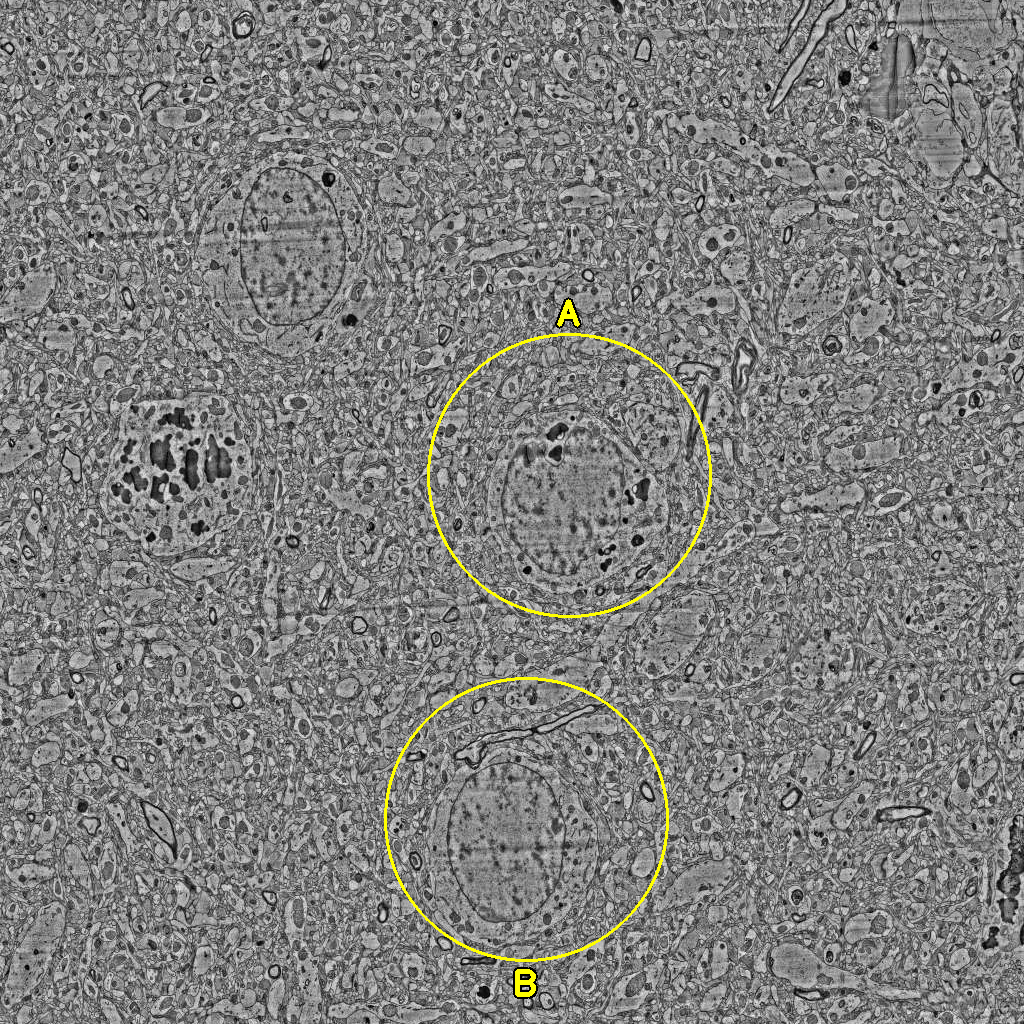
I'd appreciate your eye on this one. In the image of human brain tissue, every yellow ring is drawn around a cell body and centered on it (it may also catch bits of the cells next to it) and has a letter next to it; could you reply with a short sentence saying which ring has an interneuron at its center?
Ring A is centered on it.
